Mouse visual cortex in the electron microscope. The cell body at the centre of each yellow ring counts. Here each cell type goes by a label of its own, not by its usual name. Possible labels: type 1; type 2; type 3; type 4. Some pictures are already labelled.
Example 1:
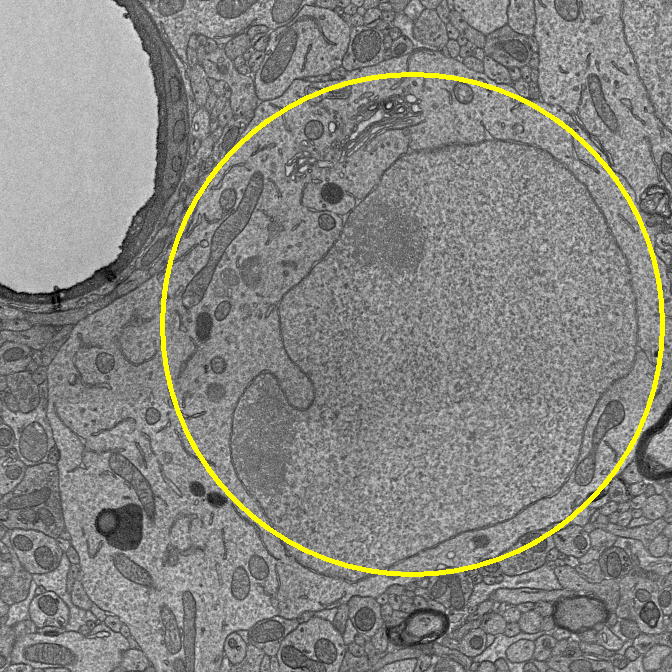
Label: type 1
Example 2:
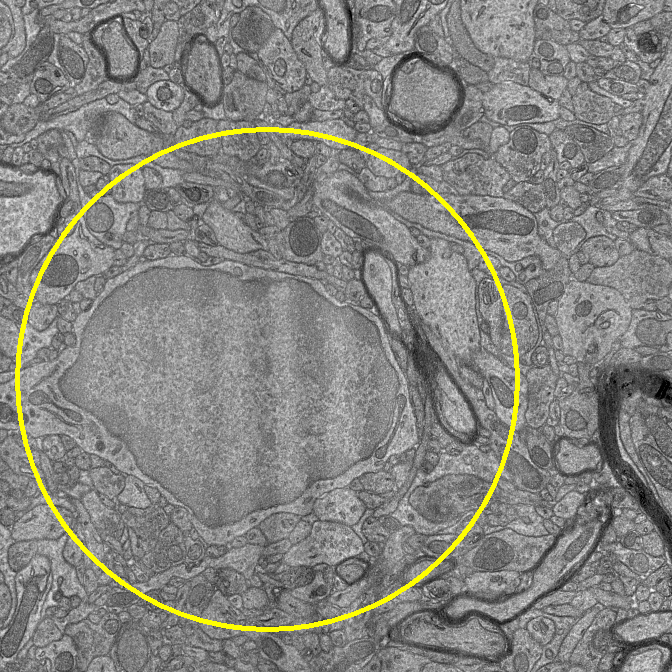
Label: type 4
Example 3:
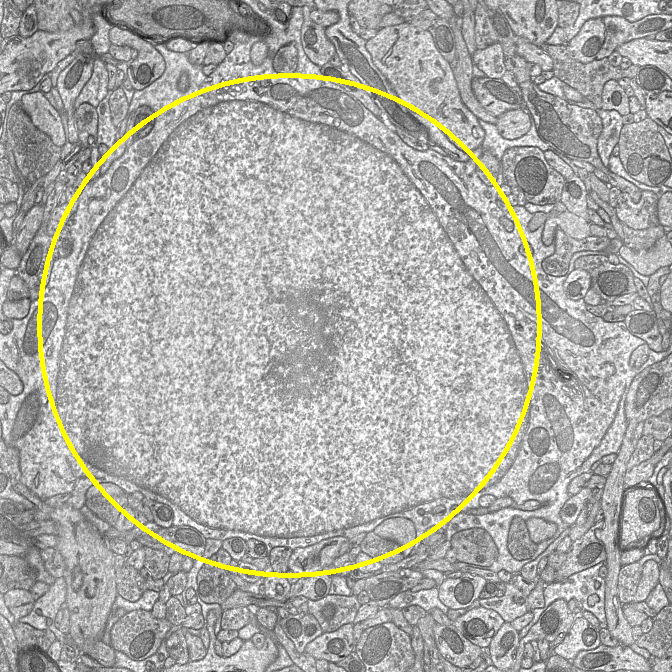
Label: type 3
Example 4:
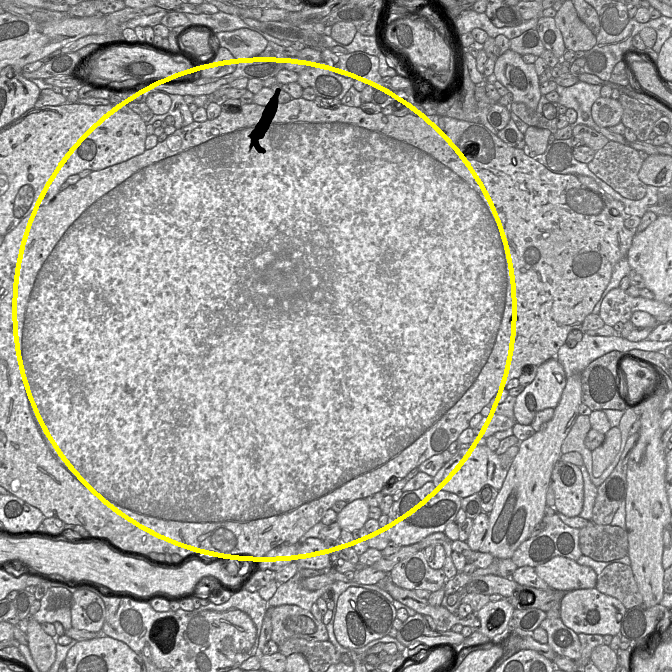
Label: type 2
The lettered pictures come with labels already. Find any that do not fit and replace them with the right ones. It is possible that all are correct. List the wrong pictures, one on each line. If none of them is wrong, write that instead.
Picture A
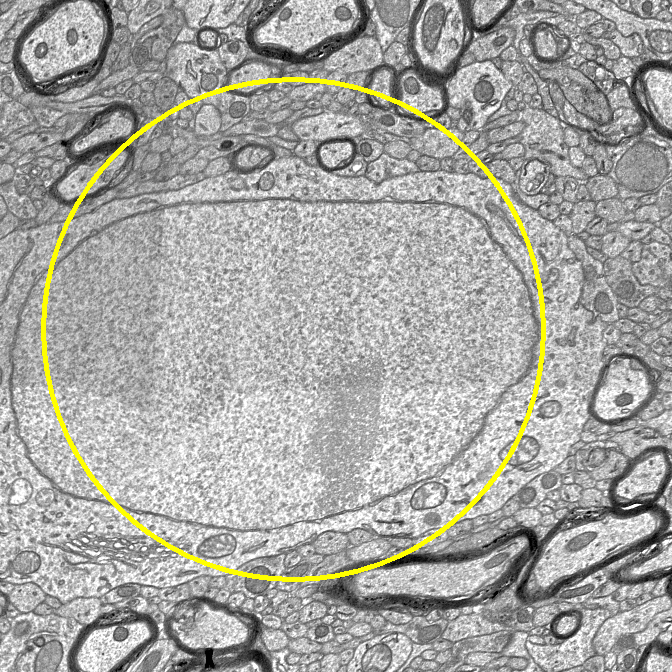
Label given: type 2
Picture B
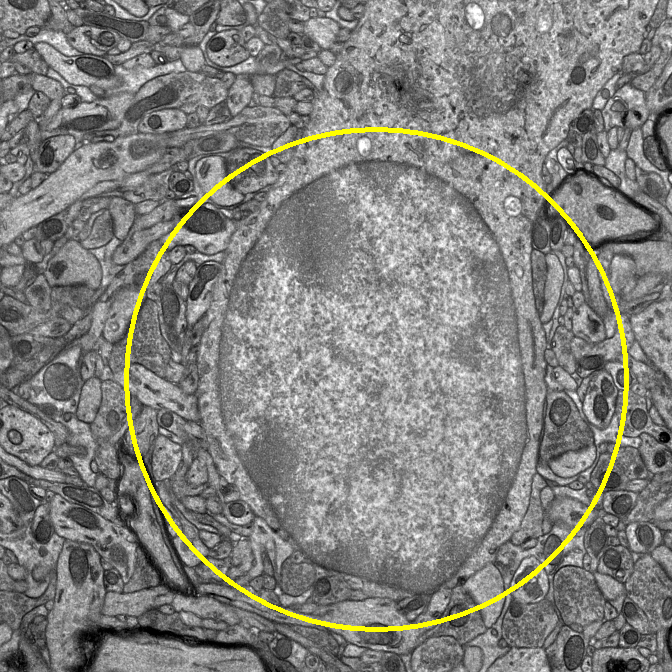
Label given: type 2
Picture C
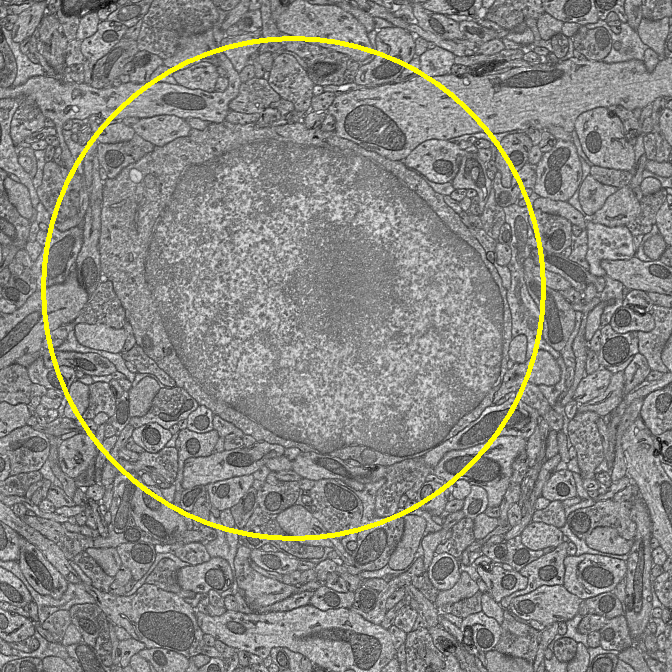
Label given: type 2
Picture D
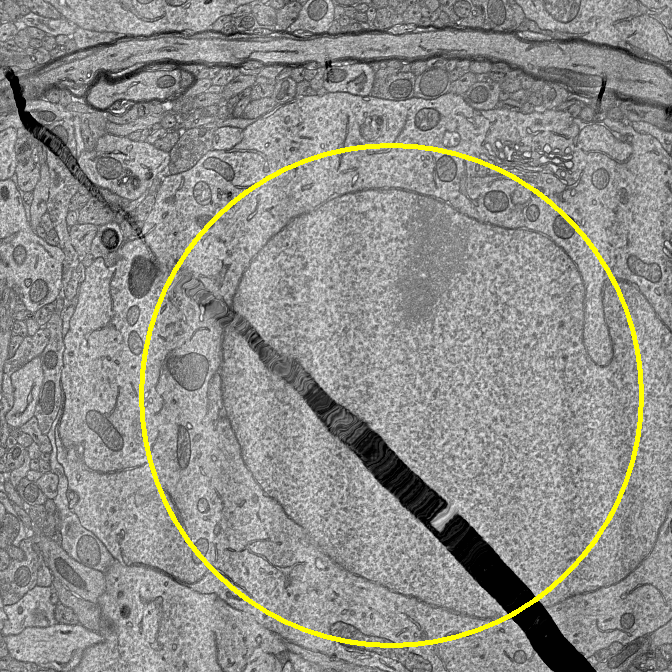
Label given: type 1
Wrong: A (type 2); correct: type 1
